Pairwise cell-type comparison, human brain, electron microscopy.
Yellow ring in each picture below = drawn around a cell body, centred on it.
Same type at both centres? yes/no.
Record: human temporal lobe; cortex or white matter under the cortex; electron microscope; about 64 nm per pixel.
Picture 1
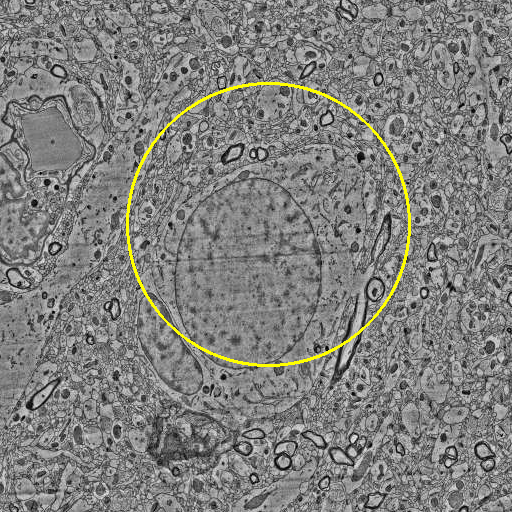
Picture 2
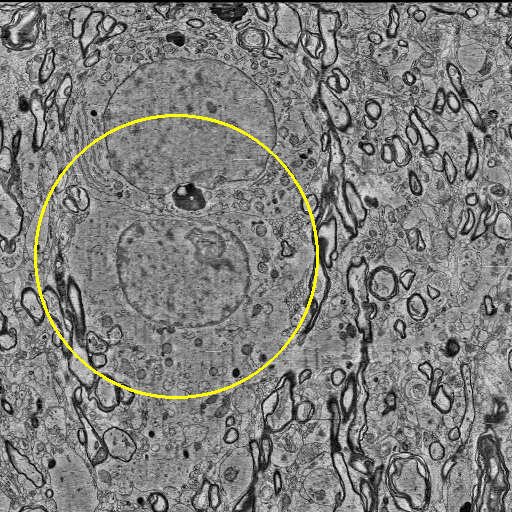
no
